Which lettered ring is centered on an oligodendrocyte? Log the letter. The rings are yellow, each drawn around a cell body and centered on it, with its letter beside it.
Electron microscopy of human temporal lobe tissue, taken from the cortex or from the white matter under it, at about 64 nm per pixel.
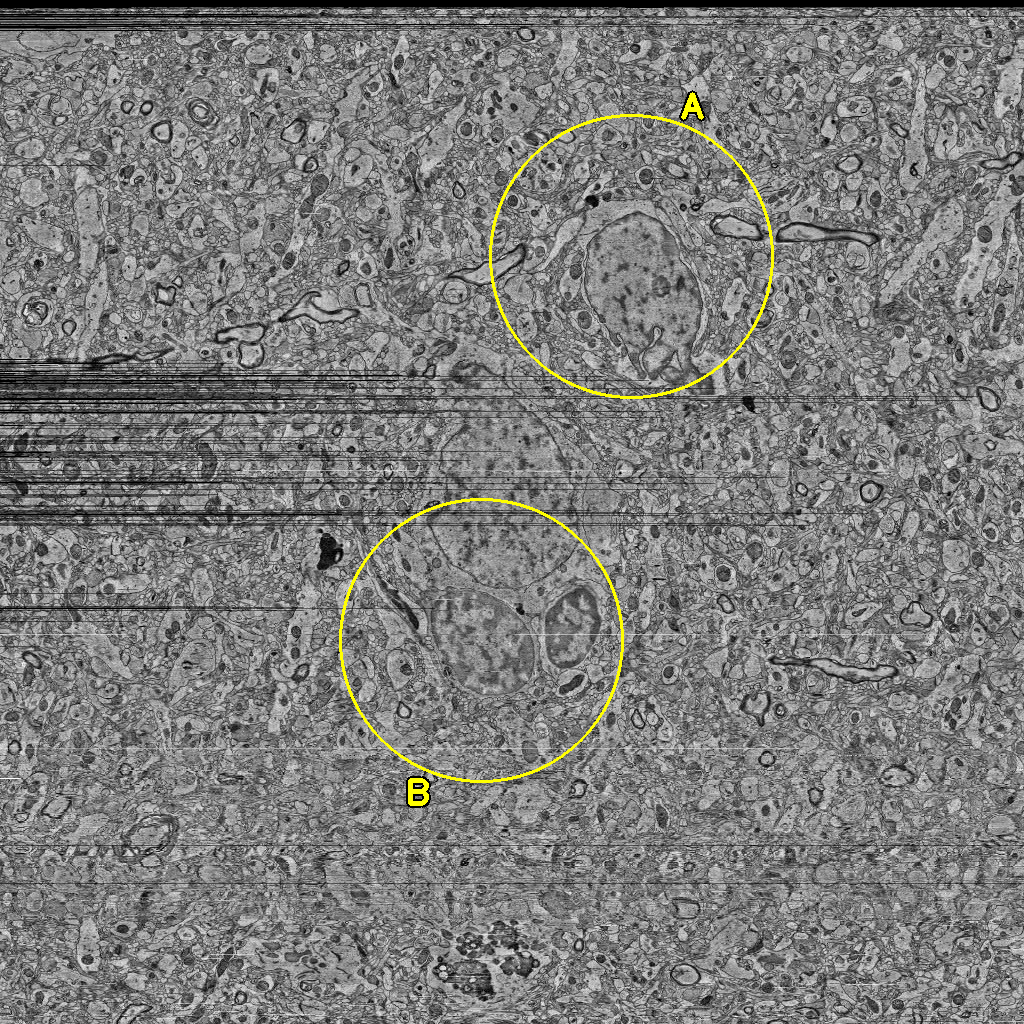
B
